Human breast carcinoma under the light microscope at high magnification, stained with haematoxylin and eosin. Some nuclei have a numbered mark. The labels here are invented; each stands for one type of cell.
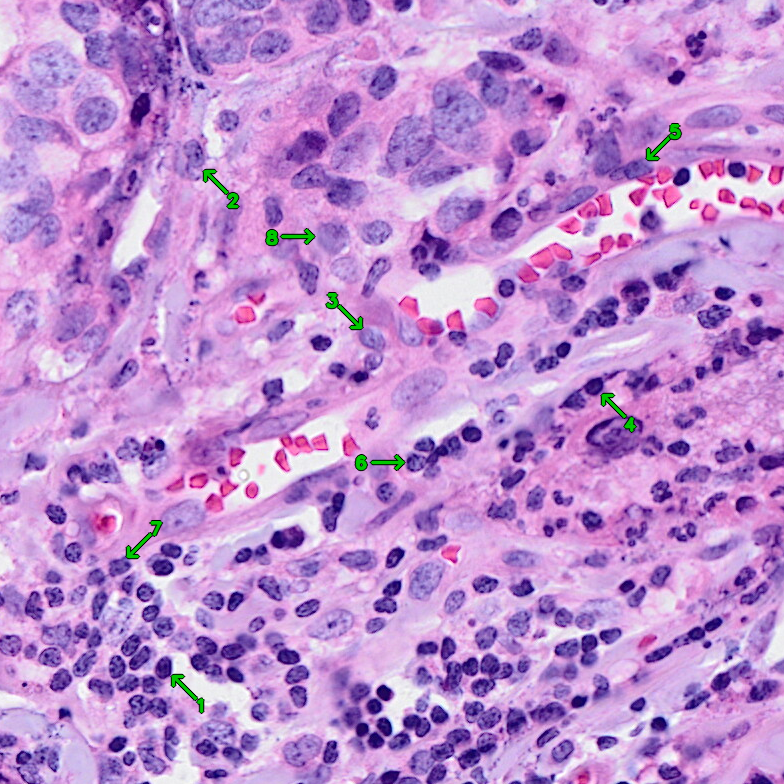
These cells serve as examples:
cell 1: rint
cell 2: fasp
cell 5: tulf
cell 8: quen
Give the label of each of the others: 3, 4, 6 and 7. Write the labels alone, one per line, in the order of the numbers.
tulf
rint
rint
rint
